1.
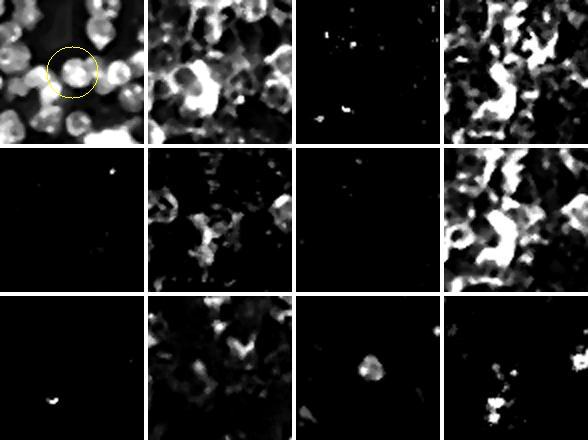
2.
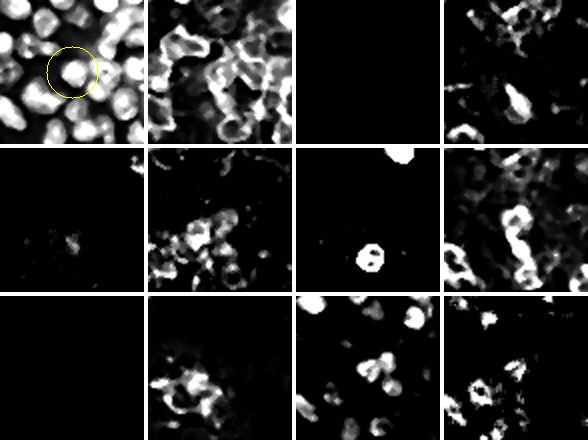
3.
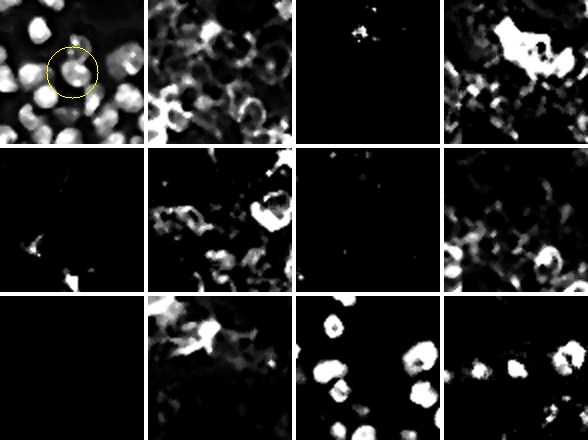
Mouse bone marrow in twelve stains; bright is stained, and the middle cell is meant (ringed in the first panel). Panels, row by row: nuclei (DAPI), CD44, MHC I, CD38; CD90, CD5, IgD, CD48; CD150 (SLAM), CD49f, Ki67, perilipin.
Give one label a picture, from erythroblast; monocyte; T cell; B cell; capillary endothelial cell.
1. erythroblast
2. monocyte
3. capillary endothelial cell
